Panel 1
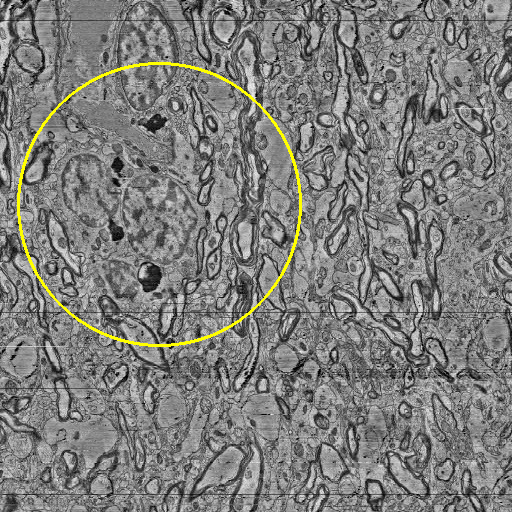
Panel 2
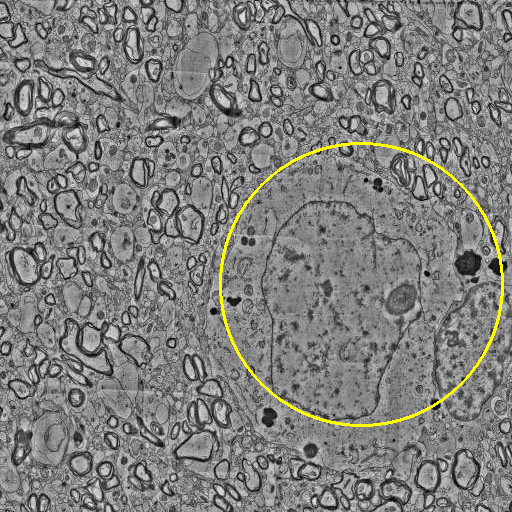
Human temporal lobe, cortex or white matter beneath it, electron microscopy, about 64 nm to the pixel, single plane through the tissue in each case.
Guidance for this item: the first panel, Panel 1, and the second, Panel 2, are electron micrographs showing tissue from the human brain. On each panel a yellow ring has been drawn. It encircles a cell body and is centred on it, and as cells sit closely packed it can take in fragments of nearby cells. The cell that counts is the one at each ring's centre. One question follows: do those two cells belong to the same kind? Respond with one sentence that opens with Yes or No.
No, the cells at the ring centres in Panel 1 and Panel 2 are of two kinds.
